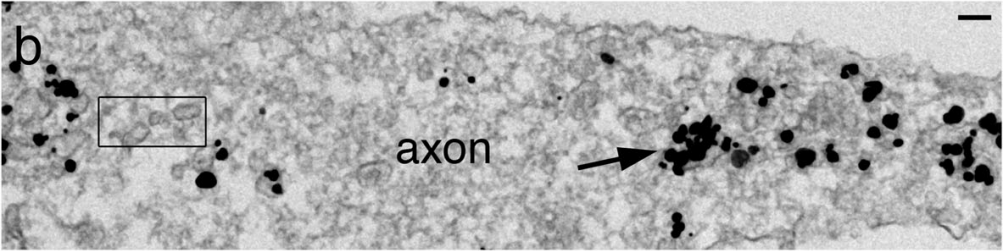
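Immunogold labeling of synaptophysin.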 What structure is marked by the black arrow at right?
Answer: Aggregates of vesicles/vacuoles.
